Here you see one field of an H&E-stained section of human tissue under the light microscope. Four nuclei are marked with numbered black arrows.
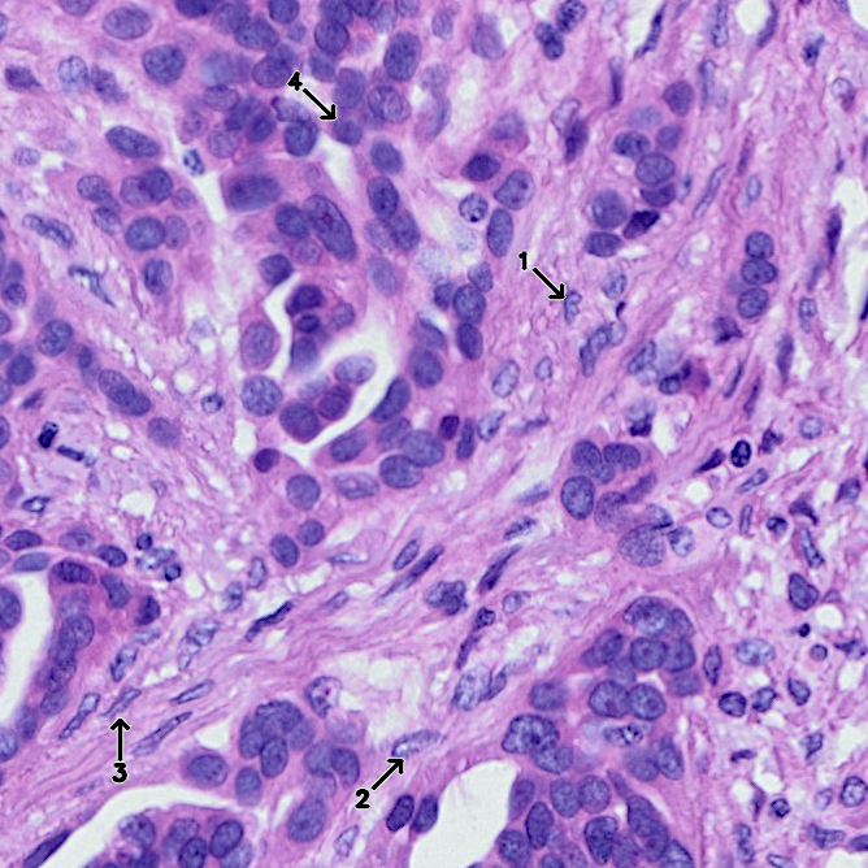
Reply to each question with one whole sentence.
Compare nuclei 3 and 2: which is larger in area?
Nucleus 2 is larger, with an area about 2 times that of nucleus 3.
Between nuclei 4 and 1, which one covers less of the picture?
With nucleus 4 about 1.5 times its size, nucleus 1 is the smaller of the two.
